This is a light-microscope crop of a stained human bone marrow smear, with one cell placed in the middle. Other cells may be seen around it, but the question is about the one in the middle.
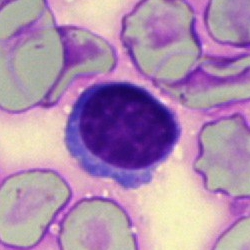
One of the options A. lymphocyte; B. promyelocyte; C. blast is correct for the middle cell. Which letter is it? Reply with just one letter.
A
